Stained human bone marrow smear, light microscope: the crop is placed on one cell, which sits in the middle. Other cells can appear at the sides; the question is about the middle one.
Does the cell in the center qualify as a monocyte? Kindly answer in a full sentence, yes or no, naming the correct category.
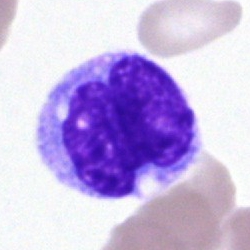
Yes, the cell centred in this crop is a monocyte.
